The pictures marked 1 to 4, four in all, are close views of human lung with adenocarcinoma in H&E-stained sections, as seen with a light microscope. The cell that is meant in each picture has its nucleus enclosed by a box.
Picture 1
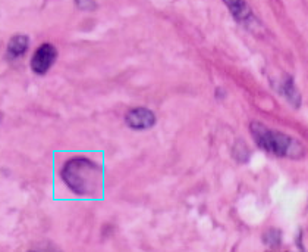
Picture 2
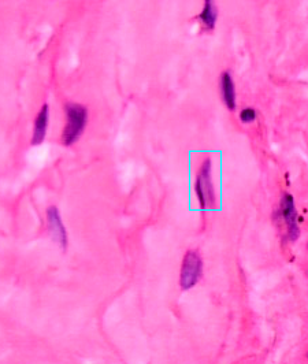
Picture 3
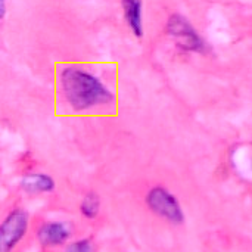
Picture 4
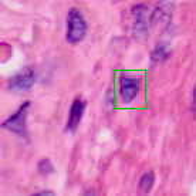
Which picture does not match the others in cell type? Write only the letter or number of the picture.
4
